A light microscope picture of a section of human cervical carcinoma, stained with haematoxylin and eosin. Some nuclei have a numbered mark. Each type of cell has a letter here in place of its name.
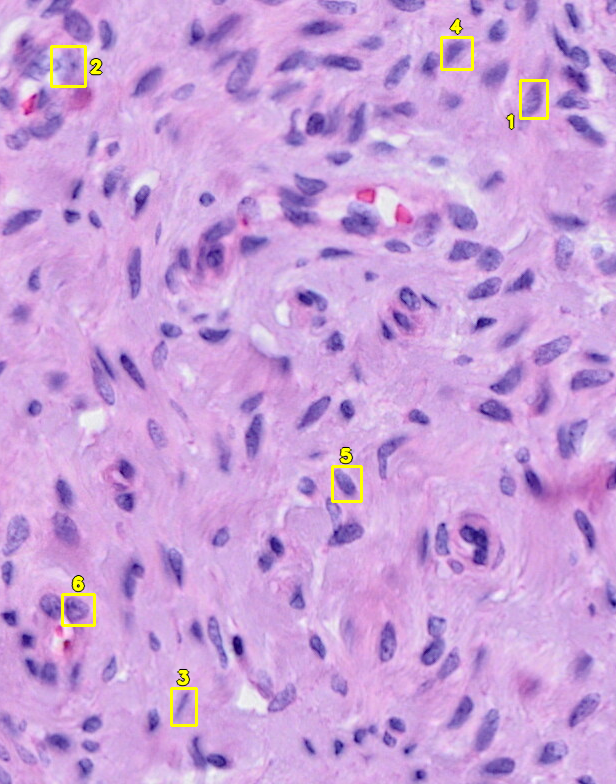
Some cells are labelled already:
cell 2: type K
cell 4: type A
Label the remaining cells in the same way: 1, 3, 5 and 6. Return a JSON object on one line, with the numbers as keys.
{"1": "type A", "3": "type A", "5": "type A", "6": "type K"}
